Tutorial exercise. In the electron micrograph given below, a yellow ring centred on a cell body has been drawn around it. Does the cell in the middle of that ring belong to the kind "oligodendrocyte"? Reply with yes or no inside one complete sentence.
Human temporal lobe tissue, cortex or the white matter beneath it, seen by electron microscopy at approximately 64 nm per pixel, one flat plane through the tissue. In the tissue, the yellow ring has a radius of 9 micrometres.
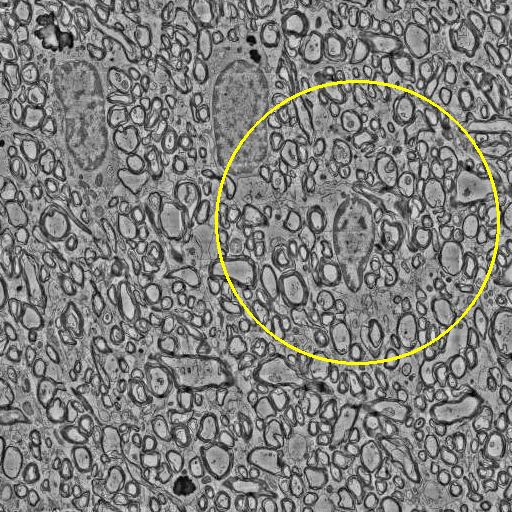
No, the cell at the centre of the ring in the picture is of a different kind.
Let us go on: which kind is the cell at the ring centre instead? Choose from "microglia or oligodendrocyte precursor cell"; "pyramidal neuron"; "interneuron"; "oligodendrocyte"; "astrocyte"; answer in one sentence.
Instead, the ringed cell here is a microglial cell or oligodendrocyte precursor cell.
